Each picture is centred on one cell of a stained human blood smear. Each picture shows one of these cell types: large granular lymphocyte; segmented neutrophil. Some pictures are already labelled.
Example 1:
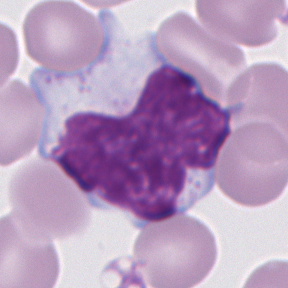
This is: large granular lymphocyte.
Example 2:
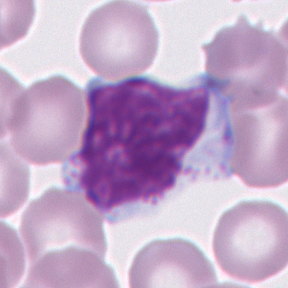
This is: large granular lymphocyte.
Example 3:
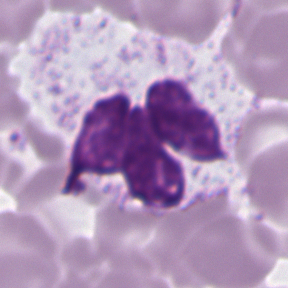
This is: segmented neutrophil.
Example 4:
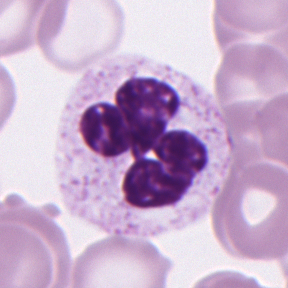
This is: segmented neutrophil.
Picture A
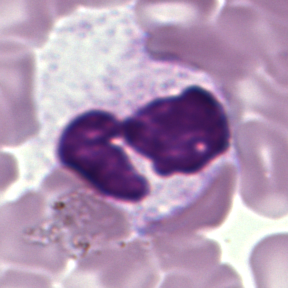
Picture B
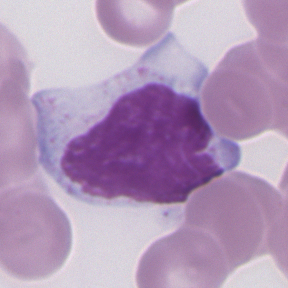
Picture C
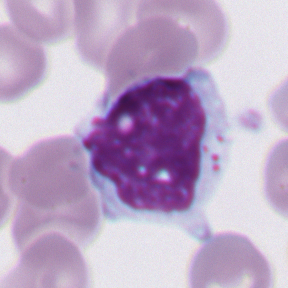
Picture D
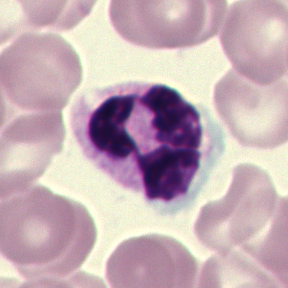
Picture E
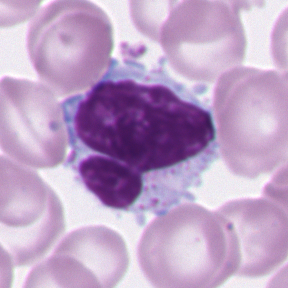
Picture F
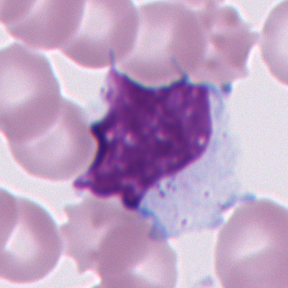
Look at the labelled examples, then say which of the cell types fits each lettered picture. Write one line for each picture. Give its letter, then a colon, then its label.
A: segmented neutrophil.
B: large granular lymphocyte.
C: large granular lymphocyte.
D: segmented neutrophil.
E: large granular lymphocyte.
F: large granular lymphocyte.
